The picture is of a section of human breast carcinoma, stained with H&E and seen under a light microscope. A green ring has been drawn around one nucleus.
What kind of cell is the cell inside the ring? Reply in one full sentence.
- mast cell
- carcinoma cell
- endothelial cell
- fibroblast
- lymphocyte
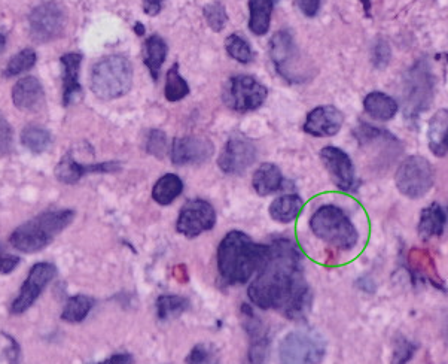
In cellular terms, the cell inside the ring is a carcinoma cell.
